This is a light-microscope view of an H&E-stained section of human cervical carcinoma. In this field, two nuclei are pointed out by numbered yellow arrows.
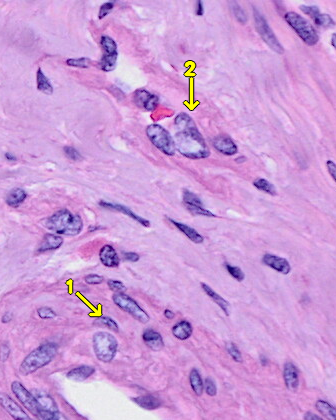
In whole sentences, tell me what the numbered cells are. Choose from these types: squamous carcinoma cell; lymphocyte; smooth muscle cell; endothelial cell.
Cell 1 is a smooth muscle cell and cell 2 is an endothelial cell.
